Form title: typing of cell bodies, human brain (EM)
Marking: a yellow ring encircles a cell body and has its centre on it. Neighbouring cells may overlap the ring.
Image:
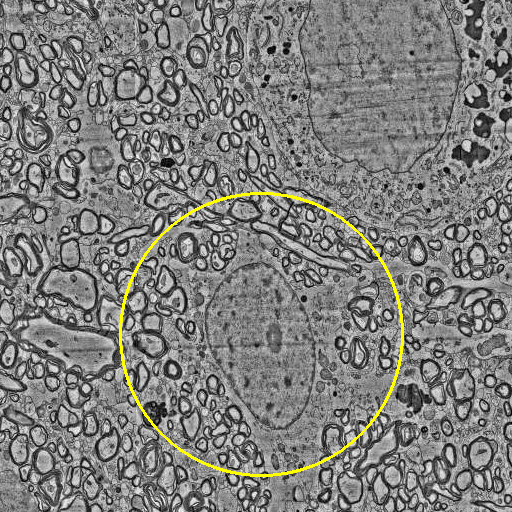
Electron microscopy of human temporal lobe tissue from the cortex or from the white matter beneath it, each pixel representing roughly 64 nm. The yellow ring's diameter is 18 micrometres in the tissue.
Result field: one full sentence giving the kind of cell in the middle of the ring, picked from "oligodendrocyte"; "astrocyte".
In the picture, the ring is centred on an astrocyte, whose cell body it encircles.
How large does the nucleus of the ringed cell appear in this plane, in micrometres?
The nucleus is approximately 11 micrometres long but only about 7 wide, clearly longer than it is wide in this plane.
